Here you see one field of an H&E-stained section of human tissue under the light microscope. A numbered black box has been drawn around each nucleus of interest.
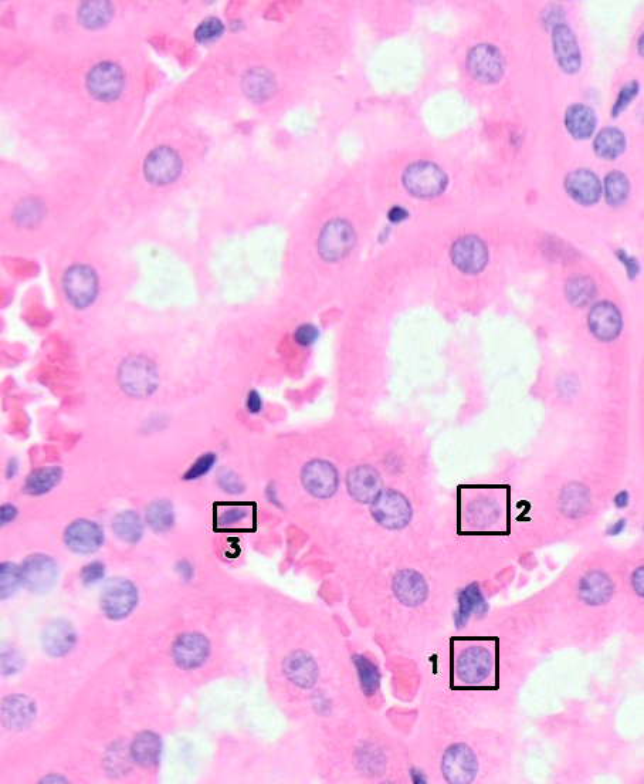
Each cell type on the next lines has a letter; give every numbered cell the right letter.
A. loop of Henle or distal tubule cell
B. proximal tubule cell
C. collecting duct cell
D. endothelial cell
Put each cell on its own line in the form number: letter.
1: B
2: B
3: D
